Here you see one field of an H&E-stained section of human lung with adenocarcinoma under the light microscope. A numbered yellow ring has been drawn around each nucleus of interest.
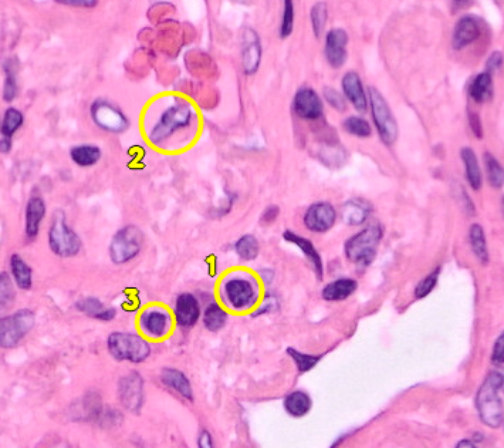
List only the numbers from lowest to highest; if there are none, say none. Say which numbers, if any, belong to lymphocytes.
1, 3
